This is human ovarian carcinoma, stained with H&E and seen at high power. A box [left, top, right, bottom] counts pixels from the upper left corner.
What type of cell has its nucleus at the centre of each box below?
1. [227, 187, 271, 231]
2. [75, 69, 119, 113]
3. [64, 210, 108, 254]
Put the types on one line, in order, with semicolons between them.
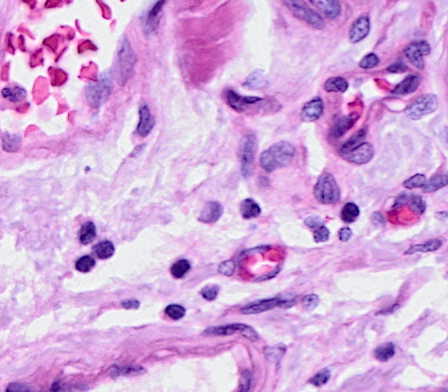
lymphocyte; endothelial cell; lymphocyte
